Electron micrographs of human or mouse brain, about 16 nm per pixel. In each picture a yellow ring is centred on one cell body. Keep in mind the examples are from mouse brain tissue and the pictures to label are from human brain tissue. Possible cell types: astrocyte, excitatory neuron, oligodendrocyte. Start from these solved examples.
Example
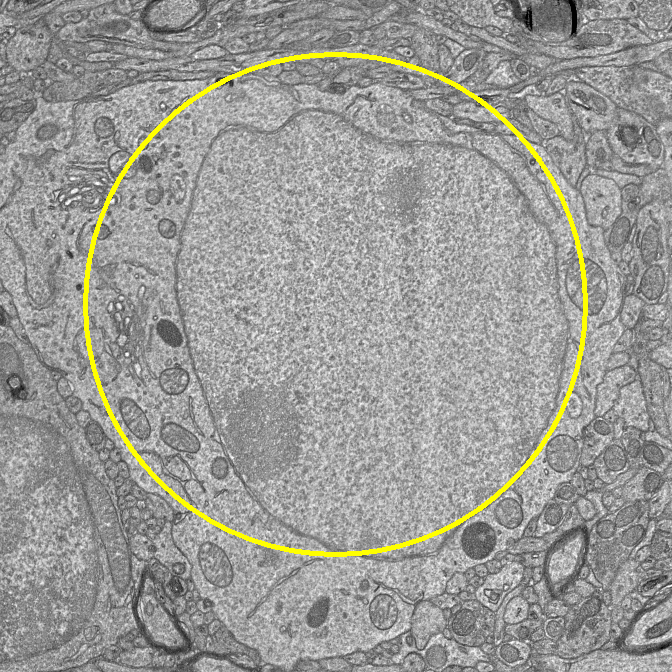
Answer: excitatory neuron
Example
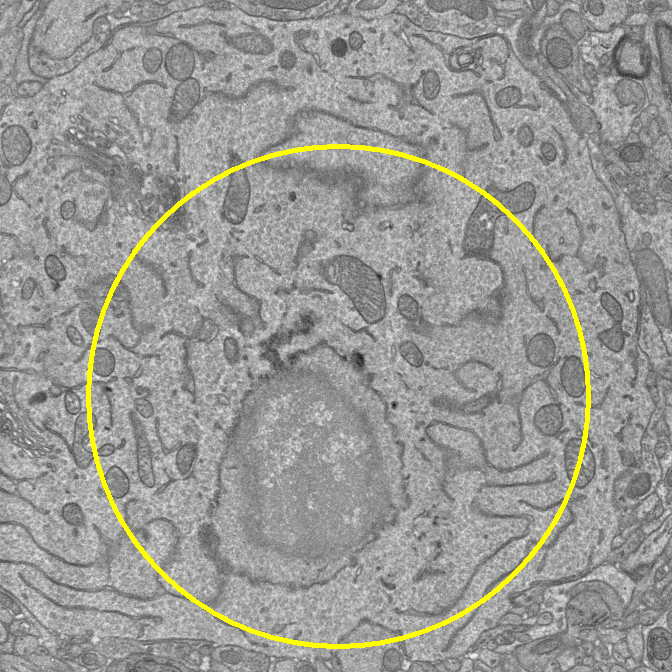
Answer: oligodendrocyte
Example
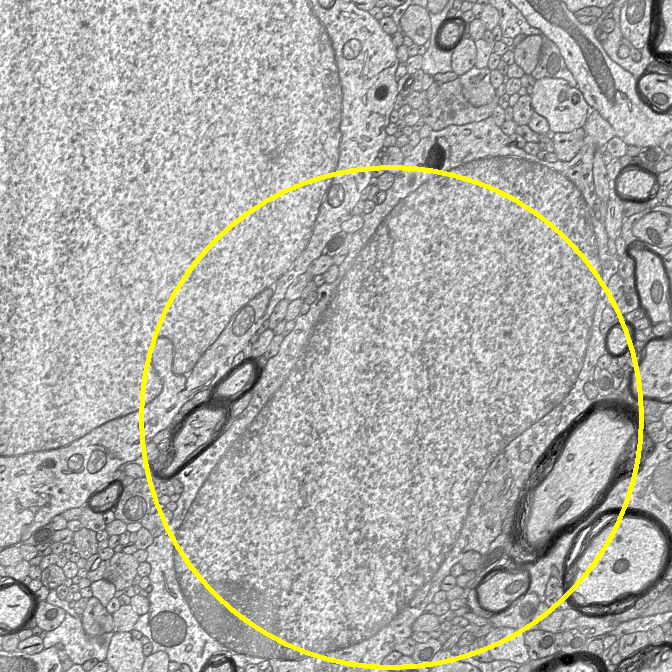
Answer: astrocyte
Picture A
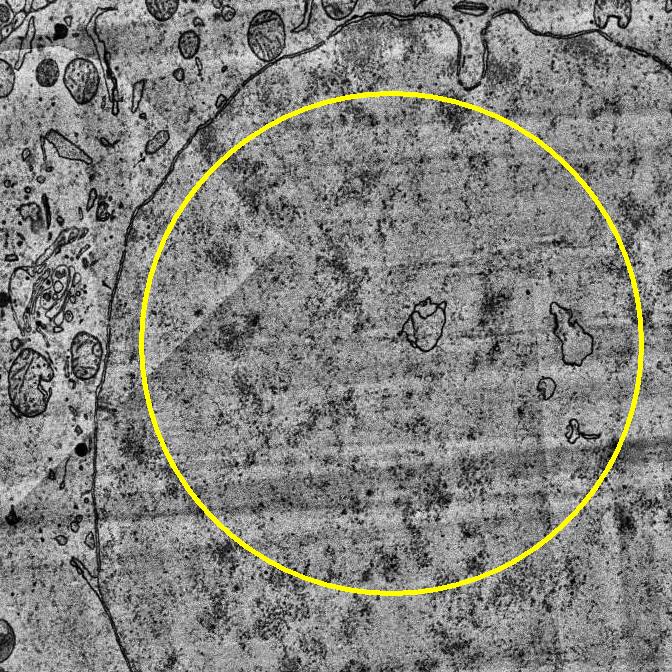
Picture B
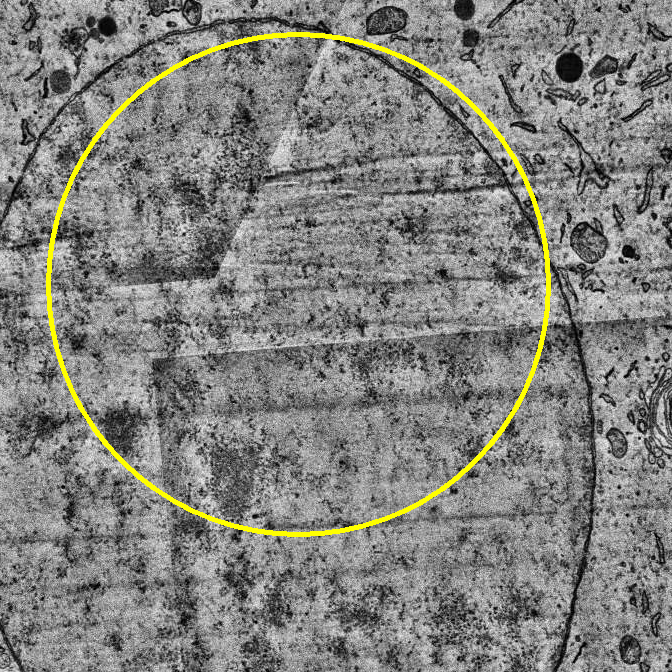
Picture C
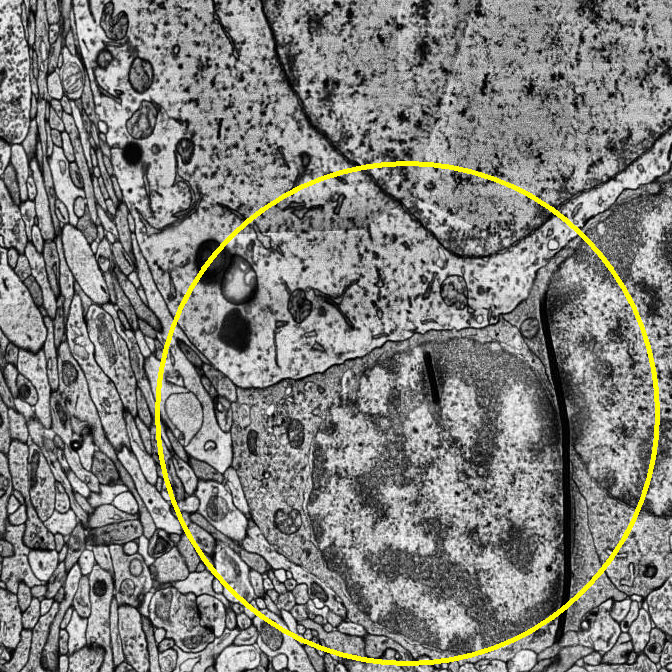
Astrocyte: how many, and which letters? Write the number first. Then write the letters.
0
